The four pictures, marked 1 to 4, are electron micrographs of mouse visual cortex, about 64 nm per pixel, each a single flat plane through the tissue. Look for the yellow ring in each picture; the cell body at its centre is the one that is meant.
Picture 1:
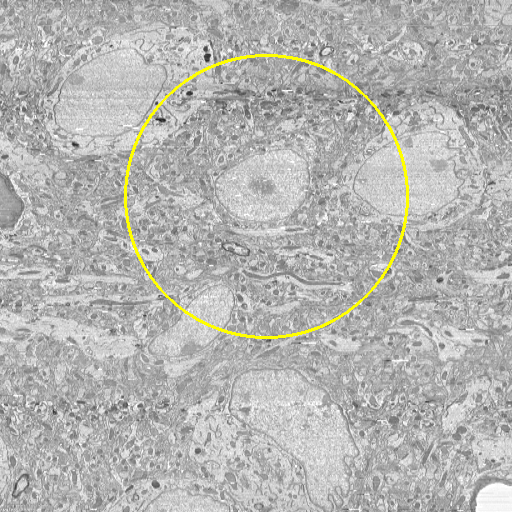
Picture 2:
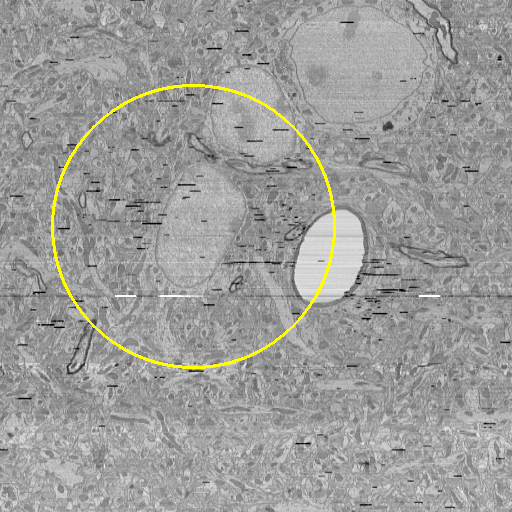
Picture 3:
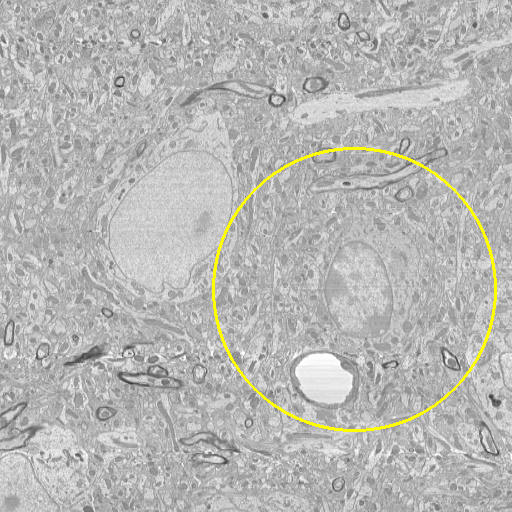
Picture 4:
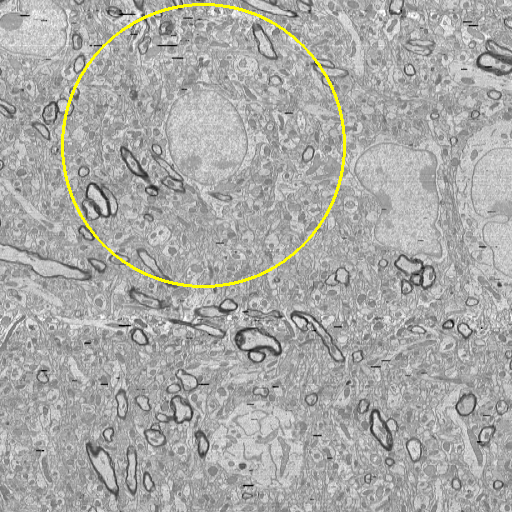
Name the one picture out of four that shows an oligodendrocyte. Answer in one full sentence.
Picture 3 shows the oligodendrocyte.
